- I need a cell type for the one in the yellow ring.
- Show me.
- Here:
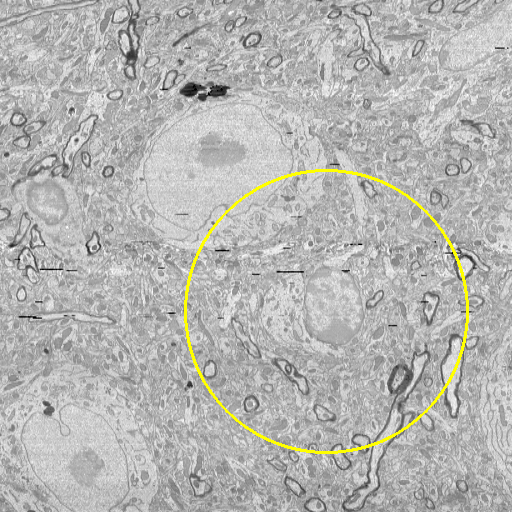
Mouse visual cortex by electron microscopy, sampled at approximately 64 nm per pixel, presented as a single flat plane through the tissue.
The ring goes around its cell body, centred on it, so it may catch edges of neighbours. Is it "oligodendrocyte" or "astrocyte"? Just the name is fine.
oligodendrocyte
